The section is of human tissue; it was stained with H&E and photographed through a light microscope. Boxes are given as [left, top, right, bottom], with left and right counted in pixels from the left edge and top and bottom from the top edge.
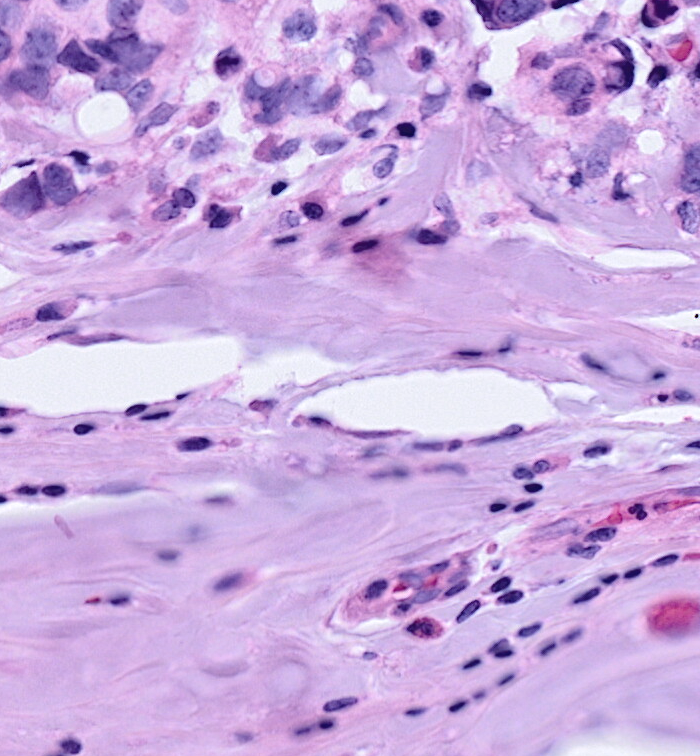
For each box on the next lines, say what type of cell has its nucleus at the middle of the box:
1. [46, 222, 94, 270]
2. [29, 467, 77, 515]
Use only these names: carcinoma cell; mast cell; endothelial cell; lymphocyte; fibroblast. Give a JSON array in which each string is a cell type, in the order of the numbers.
["fibroblast", "lymphocyte"]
